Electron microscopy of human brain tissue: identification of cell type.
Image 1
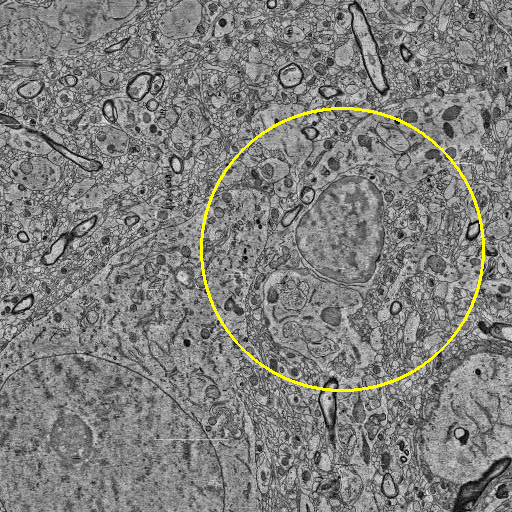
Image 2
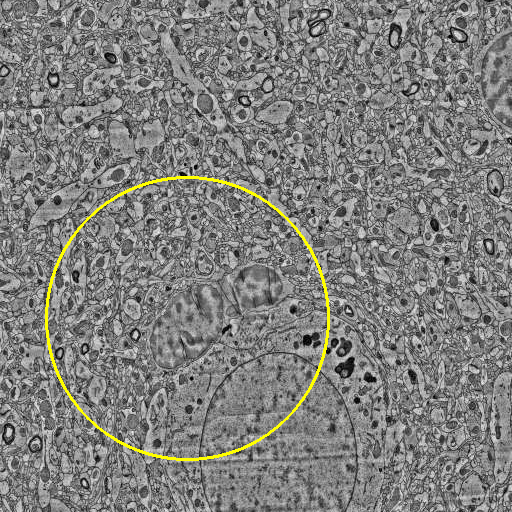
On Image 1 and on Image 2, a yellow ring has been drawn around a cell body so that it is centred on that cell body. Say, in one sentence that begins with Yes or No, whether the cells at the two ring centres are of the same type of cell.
No, the two cells are two separate types of cell.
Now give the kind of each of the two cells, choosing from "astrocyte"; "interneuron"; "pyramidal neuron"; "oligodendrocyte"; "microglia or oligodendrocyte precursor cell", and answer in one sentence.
The cell in the first picture is a microglial cell or oligodendrocyte precursor cell, and the cell in the second is an oligodendrocyte.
